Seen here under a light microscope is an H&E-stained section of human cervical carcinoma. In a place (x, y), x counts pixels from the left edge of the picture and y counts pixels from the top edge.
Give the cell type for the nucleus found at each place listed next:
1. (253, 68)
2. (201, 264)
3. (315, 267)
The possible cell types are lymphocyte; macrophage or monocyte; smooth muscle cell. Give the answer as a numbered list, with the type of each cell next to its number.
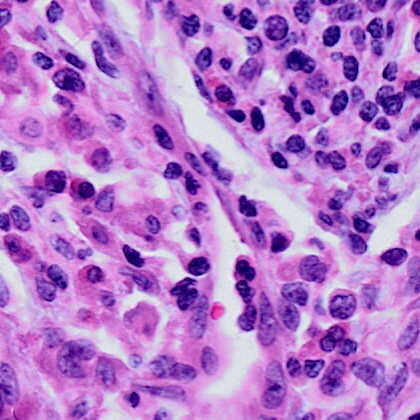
1. macrophage or monocyte
2. lymphocyte
3. macrophage or monocyte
